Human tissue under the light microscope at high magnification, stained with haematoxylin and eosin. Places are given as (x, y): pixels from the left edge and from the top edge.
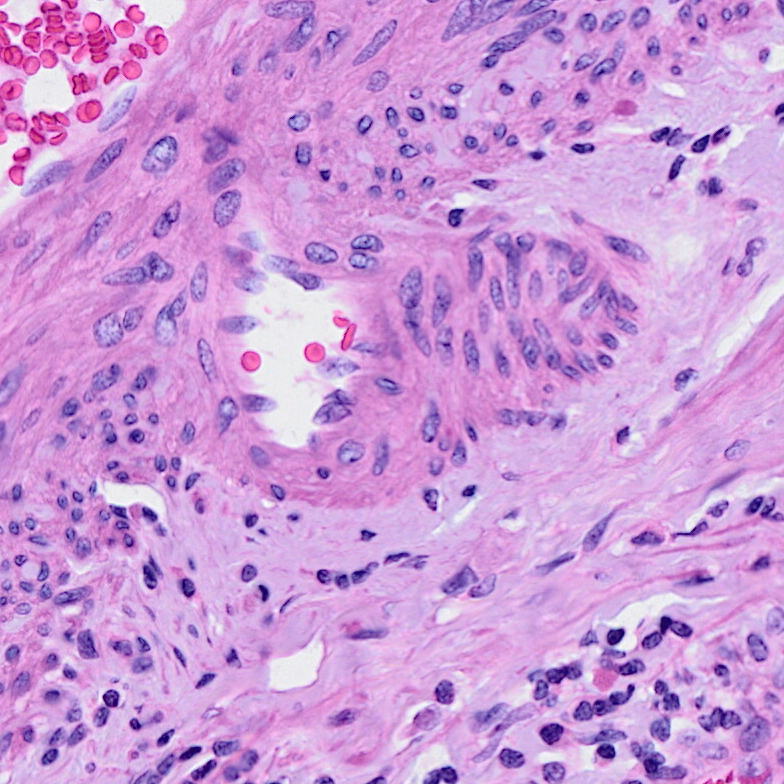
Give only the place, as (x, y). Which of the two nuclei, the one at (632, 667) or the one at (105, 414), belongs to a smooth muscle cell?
(105, 414)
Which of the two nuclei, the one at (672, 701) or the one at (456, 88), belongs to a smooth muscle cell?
(456, 88)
